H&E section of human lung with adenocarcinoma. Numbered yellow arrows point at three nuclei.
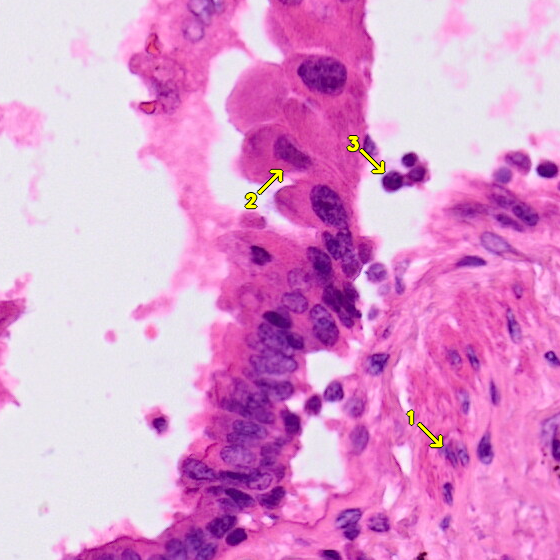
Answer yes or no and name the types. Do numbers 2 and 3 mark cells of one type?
No, that's off: cell 2 is a carcinoma cell and cell 3 is a lymphocyte.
